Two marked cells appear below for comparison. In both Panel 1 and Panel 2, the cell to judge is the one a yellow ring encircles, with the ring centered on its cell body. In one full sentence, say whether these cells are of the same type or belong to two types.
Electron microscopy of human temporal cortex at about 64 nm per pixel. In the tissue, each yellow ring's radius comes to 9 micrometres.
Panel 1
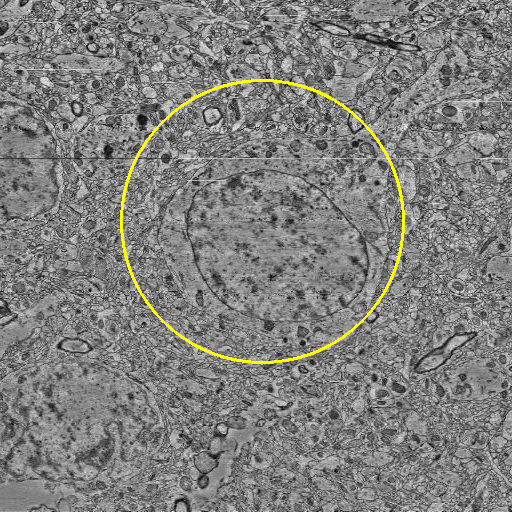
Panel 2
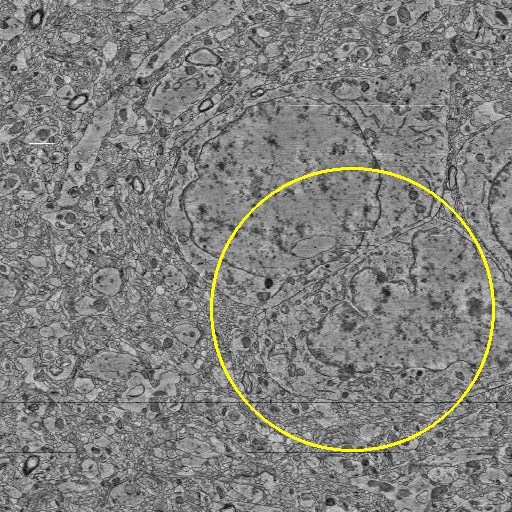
The cell centered in the Panel 1 ring and the one in Panel 2 belong to two types.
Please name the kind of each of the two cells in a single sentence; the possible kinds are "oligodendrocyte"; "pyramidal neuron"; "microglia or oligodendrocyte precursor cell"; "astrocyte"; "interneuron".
In the first picture the ring is centred on a pyramidal neuron, and in the second on an interneuron.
